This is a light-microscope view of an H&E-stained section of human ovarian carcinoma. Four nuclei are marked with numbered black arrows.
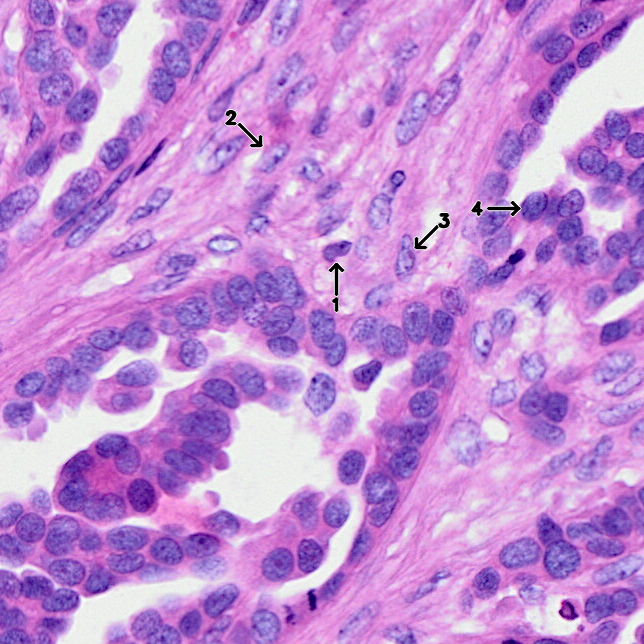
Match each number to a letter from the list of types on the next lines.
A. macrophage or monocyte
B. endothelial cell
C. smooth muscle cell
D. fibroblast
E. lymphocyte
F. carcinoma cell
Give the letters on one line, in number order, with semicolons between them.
A; D; D; F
